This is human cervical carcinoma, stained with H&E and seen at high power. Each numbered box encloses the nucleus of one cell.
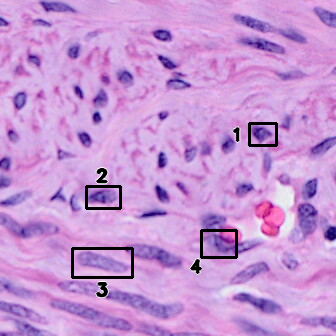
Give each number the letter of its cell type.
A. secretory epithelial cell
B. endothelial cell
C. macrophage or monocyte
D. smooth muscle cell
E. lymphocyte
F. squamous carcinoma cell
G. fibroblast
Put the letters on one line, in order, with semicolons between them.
D; D; D; B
